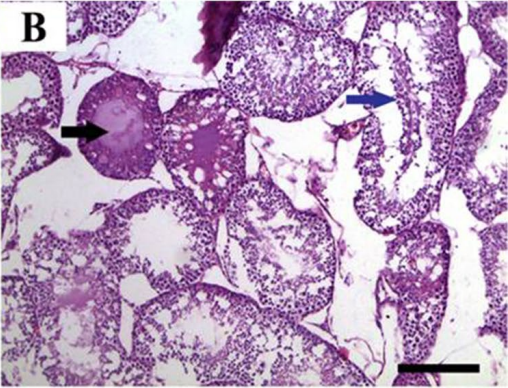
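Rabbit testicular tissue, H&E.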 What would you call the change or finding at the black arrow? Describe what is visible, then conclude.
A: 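The arrowed tubule centre is filled with pale pink homogeneous material. The material holds few or no nuclei. That points to this answer: eosinophilic proteinaceous materials.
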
